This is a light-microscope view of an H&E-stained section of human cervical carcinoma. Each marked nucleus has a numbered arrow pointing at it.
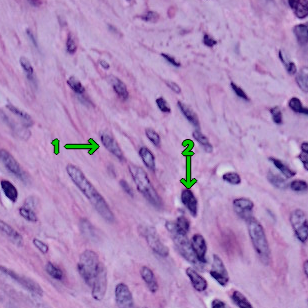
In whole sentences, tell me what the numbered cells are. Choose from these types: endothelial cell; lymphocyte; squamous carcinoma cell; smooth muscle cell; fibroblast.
Cell 1 is a smooth muscle cell. Cell 2 is a lymphocyte.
